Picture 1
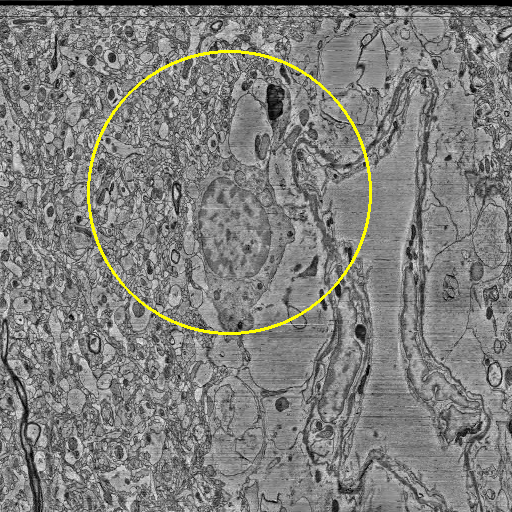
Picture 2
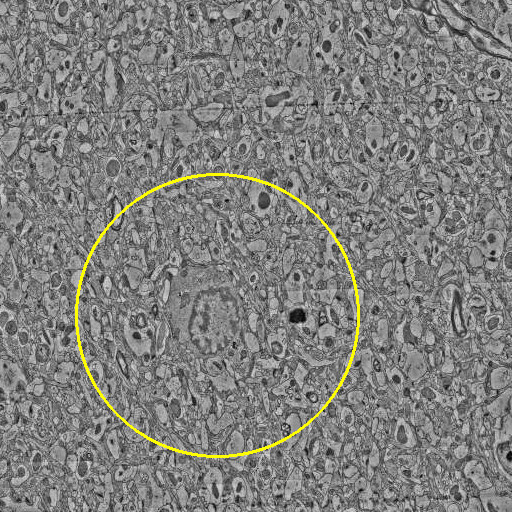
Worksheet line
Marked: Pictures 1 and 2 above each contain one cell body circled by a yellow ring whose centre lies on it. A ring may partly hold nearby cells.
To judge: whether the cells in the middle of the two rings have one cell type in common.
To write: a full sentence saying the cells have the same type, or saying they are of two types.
The cells in the middle of the rings in Picture 1 and Picture 2 have the same type.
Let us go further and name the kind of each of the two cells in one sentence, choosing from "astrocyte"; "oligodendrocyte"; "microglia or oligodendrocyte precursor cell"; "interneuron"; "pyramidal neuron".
Each one of the two ringed cells is an oligodendrocyte.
